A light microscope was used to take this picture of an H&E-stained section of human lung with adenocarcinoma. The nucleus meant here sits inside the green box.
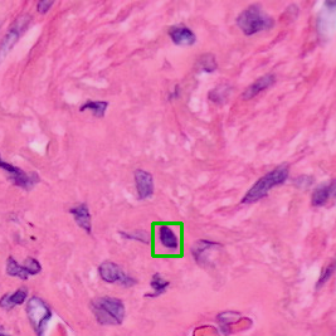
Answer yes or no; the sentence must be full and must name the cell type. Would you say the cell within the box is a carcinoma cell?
No, kindly revise that, as the cell within the box is a mast cell rather than a carcinoma cell.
